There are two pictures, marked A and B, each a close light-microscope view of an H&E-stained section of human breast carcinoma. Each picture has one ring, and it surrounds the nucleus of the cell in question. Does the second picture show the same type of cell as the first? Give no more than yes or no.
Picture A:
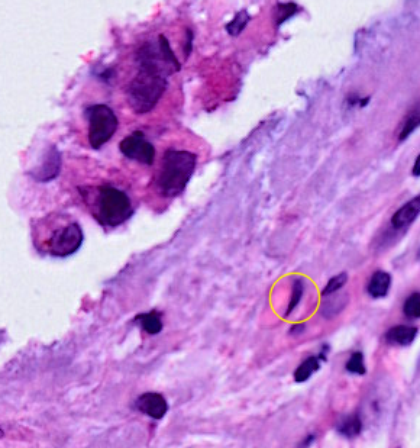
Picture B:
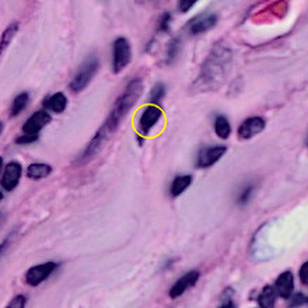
no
